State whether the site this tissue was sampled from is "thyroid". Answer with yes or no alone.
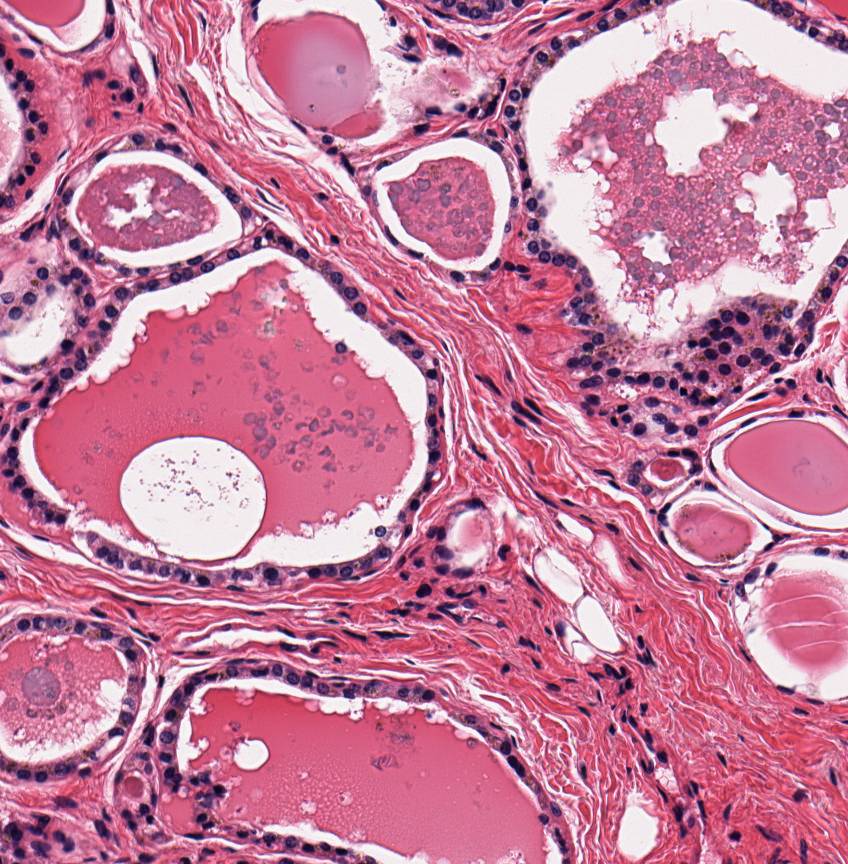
yes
